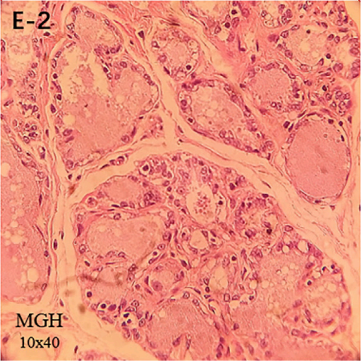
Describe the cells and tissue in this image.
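Large rounded glandular units crowd the field, separated only by thin pink fibrous septa. Their lumina are distended and filled with pale pink, finely granular material. The lining cells have round purple nuclei and cytoplasm containing many clear round vacuoles, some lumina also holding vacuolated cells. These are enlarged, secretion-filled alveoli of the mammary gland, far bigger and more crowded than small resting lobules.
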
